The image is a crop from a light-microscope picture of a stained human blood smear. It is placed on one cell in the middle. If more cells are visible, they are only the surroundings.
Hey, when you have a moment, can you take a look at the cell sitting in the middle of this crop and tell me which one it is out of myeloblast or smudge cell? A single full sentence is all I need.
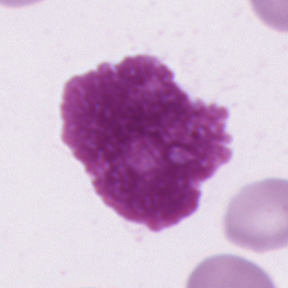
What the crop centres on is a smudge cell.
